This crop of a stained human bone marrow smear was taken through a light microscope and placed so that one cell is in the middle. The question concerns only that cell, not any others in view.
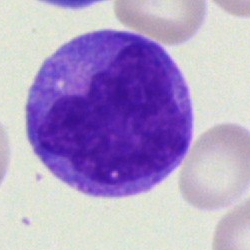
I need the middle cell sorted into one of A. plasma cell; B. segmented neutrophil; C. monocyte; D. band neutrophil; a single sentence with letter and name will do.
Option C is the correct one; it names the central cell as a monocyte.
